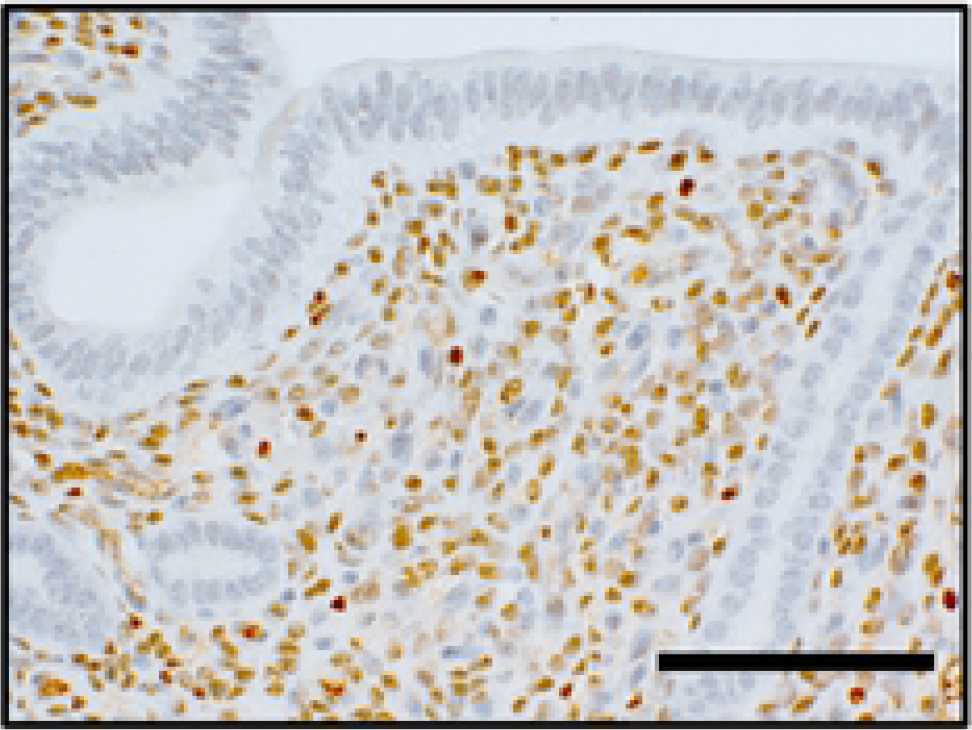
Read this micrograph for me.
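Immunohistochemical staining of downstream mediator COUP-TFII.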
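This section of uterus shows a luminal epithelium and glands lined by columnar epithelial cells above a dense stroma of stromal cells. The epithelial cells are tall and closely packed, with elongated blue nuclei and no brown staining. The stromal cells beneath are crowded, with small oval to spindle-shaped nuclei, many of which are stained brown. Cross-sections of glands with round lumens lie within the stroma at the lower left.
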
